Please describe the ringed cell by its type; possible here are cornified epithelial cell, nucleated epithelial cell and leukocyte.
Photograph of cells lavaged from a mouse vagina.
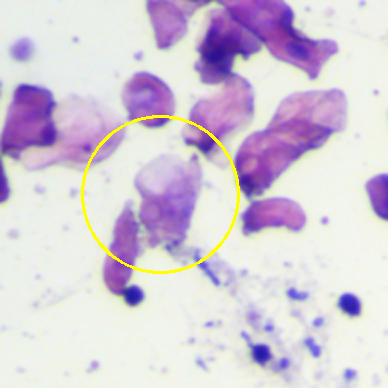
The yellow ring marks a cornified epithelial cell.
